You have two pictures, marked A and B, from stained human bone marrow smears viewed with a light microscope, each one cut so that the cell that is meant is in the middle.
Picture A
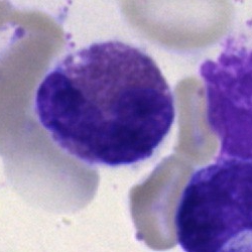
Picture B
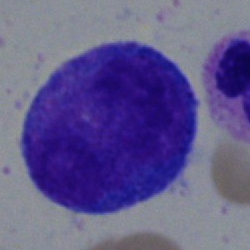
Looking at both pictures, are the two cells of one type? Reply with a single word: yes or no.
no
